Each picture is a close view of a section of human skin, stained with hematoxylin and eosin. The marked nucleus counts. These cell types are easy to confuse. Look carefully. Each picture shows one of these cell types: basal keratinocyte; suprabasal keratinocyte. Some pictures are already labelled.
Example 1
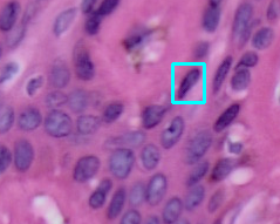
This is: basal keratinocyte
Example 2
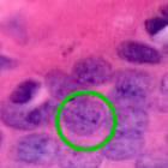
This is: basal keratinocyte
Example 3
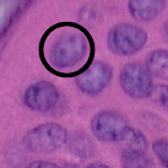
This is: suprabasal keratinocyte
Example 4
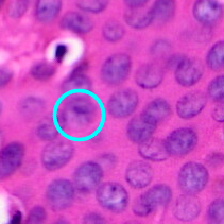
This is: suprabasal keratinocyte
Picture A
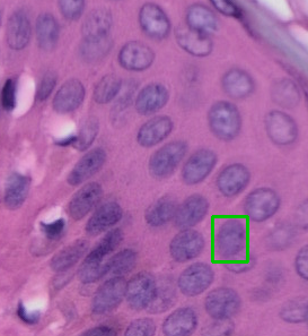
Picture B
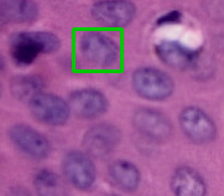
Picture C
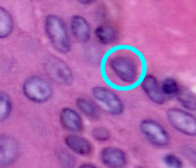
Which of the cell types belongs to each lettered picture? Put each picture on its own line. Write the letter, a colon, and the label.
A: suprabasal keratinocyte
B: suprabasal keratinocyte
C: basal keratinocyte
